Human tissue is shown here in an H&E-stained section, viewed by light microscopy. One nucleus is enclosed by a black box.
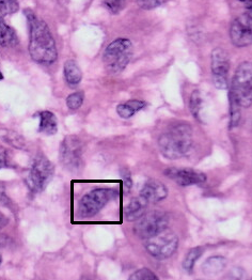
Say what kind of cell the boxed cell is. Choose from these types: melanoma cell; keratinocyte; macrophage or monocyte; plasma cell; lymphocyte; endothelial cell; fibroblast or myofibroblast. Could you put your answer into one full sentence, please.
The classification of the boxed cell is as a melanoma cell.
